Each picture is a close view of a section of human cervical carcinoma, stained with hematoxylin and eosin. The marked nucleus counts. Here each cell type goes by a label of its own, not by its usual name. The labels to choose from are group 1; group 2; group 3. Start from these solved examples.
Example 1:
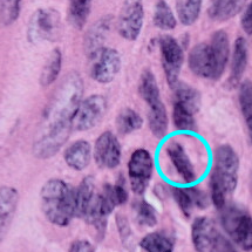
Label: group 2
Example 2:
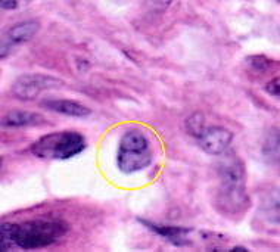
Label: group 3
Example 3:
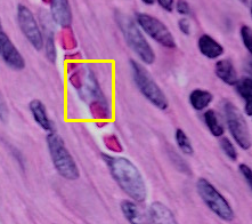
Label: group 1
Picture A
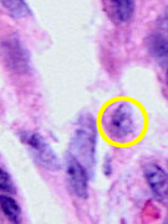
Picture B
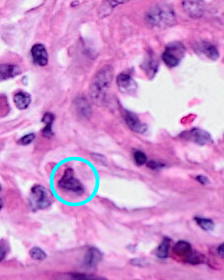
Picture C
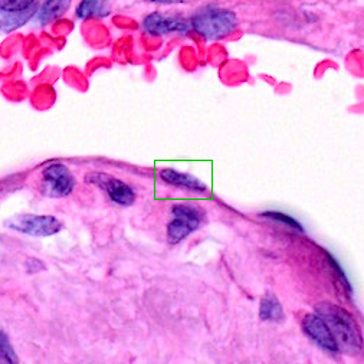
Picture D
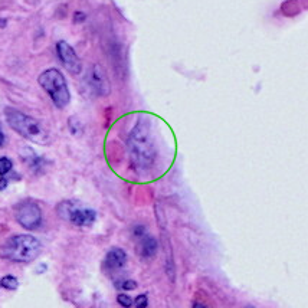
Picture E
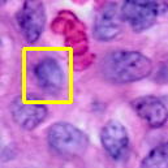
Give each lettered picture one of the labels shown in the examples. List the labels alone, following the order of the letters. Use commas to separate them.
group 3, group 3, group 1, group 1, group 1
